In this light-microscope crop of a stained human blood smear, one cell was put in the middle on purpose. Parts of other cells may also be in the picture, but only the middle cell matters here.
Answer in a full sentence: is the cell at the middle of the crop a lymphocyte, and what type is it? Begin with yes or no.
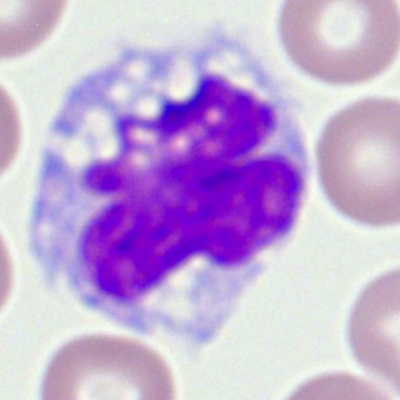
No, a monocyte rather than a lymphocyte is the cell at the centre of the crop.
